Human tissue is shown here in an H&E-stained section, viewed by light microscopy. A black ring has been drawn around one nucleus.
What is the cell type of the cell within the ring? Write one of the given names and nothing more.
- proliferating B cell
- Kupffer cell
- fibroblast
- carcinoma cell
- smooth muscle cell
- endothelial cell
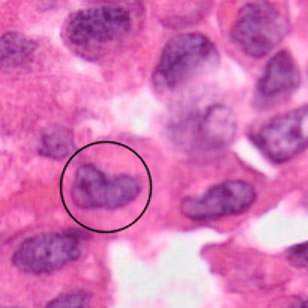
carcinoma cell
